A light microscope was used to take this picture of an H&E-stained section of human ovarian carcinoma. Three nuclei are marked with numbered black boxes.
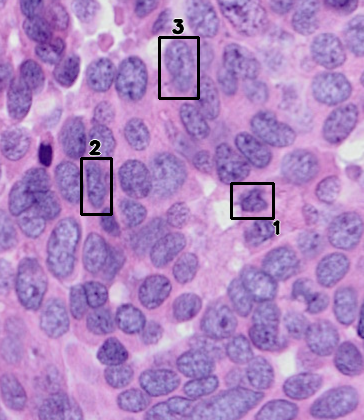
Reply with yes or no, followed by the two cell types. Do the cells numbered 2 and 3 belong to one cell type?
Yes, both are carcinoma cells.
